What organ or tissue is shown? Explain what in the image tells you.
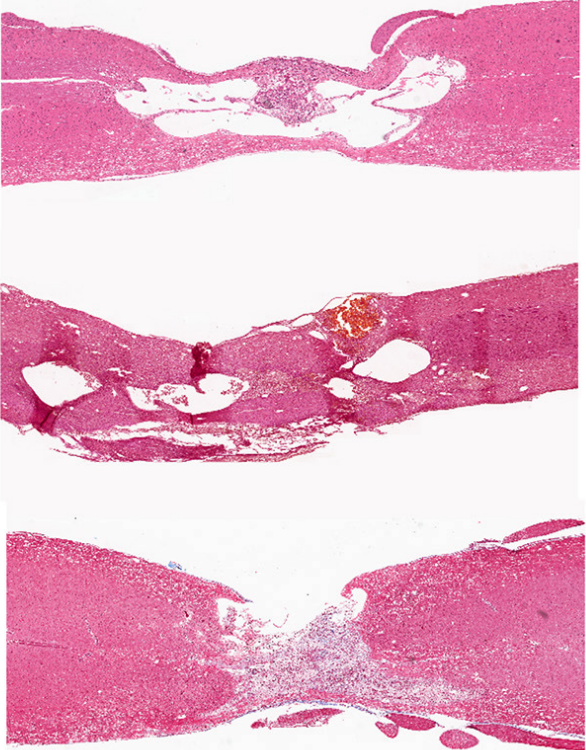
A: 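Long strips of pink-stained tissue cut along their length. Each strip narrows or is interrupted by a lesion near its middle.
Answer: spinal cord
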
